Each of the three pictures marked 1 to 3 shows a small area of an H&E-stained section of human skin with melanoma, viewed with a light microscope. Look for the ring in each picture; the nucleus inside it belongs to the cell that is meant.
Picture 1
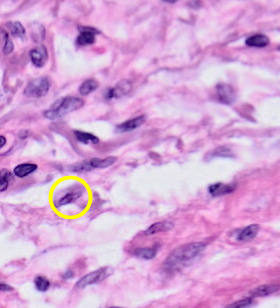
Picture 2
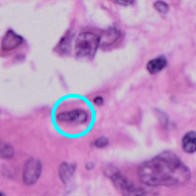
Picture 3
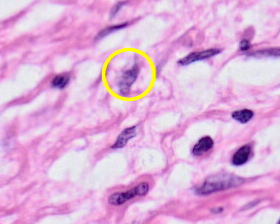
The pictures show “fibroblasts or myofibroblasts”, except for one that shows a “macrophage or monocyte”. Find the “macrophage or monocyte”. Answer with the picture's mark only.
2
